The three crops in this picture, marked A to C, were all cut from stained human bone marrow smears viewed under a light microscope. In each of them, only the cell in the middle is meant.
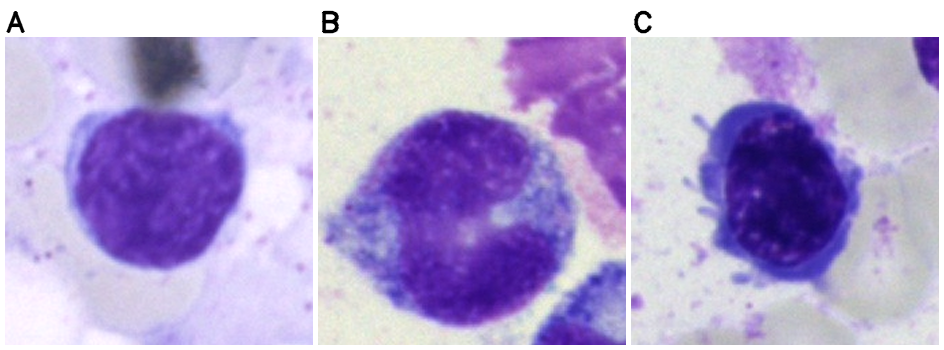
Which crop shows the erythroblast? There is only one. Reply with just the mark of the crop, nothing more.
C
